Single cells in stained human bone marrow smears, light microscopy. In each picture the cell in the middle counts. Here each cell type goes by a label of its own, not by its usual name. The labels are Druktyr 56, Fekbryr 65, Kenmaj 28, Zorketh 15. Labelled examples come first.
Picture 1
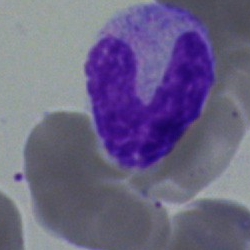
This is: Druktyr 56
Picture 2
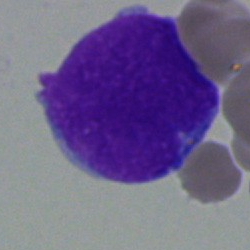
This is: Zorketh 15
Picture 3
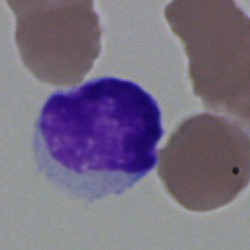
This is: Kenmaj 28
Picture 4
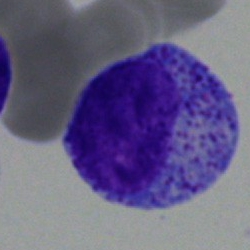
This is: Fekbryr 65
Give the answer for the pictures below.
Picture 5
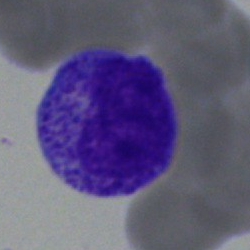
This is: Fekbryr 65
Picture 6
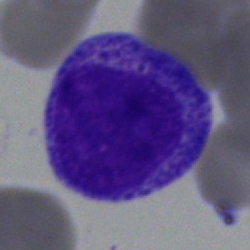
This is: Fekbryr 65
